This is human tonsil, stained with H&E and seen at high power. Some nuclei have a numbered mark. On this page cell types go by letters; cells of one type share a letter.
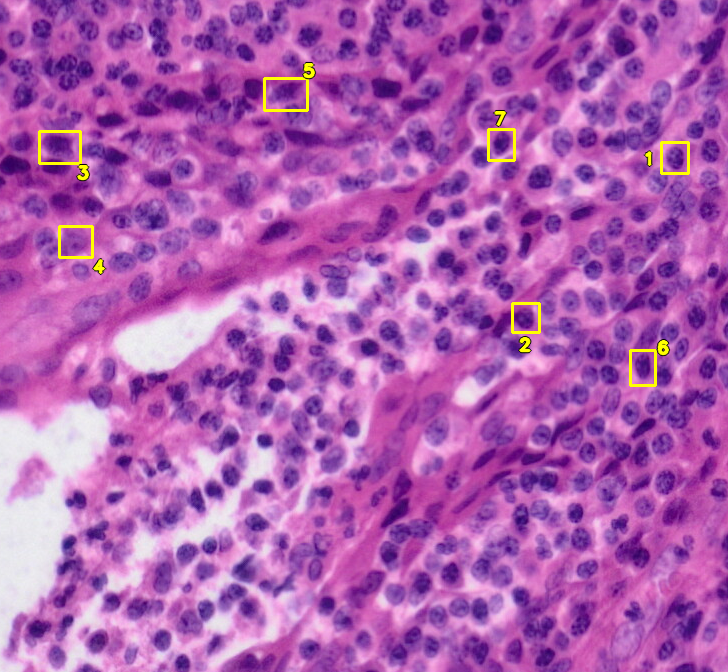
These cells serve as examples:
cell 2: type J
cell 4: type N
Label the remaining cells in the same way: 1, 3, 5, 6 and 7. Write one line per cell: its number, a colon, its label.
1: type J
3: type N
5: type N
6: type J
7: type J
